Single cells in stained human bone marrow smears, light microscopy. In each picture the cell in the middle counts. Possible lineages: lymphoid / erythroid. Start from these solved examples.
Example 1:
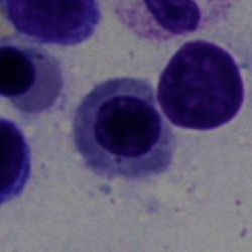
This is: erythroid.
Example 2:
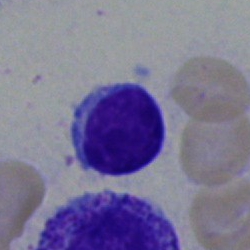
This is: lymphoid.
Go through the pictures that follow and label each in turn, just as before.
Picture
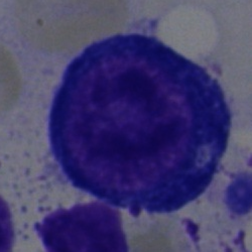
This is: erythroid.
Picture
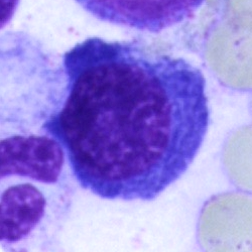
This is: erythroid.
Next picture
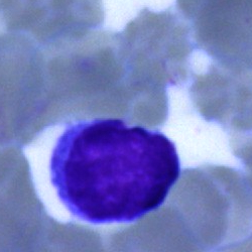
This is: lymphoid.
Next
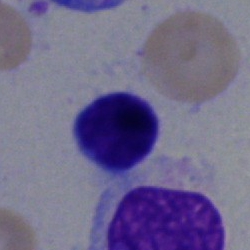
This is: lymphoid.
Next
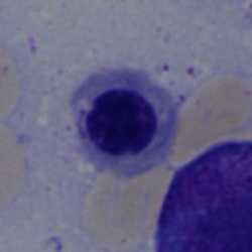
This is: erythroid.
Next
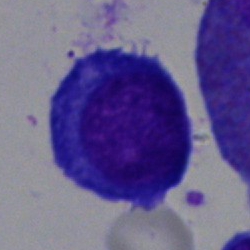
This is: lymphoid.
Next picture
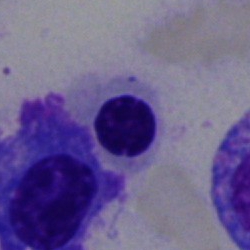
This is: erythroid.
